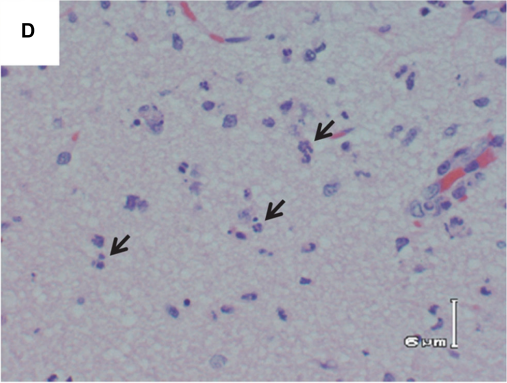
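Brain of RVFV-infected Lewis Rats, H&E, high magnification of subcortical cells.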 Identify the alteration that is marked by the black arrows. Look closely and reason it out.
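The arrowed cells have small, very dark, condensed nuclear material. The dark nuclear material of the arrowed cells is broken into several small round fragments.
Answer: apoptosis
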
